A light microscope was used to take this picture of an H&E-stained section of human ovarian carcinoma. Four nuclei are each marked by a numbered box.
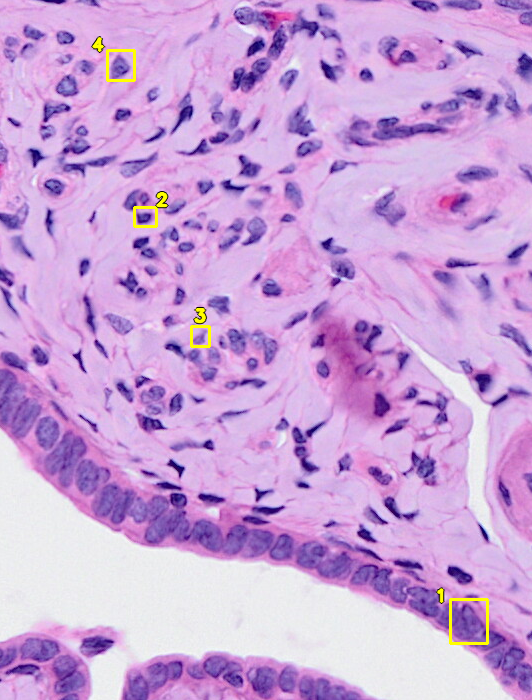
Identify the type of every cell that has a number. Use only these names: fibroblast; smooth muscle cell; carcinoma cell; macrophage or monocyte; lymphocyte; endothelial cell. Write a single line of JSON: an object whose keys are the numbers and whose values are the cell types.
{"1": "carcinoma cell", "2": "smooth muscle cell", "3": "smooth muscle cell", "4": "smooth muscle cell"}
